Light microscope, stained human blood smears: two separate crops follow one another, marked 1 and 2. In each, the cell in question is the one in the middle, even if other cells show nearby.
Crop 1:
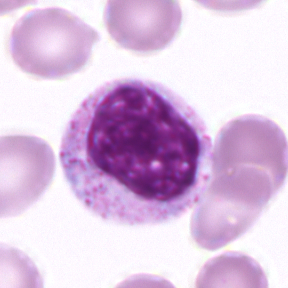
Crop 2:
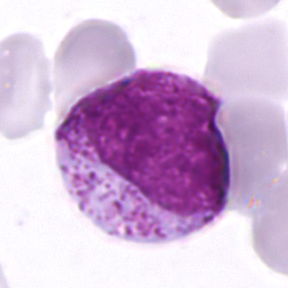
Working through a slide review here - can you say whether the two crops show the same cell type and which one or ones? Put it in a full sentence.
No, crop 1 captures a metamyelocyte; meanwhile crop 2 captures a myelocyte.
